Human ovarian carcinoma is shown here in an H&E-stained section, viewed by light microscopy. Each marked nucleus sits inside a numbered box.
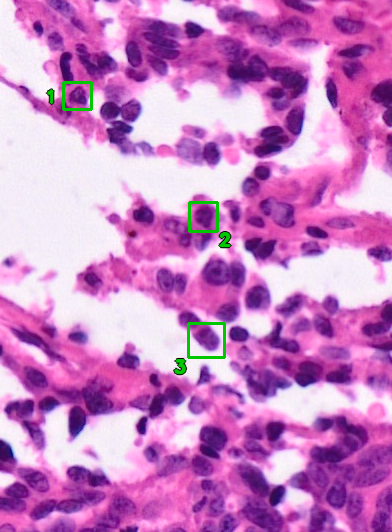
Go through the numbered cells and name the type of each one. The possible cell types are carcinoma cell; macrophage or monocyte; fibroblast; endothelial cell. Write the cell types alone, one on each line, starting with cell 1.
macrophage or monocyte
carcinoma cell
carcinoma cell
